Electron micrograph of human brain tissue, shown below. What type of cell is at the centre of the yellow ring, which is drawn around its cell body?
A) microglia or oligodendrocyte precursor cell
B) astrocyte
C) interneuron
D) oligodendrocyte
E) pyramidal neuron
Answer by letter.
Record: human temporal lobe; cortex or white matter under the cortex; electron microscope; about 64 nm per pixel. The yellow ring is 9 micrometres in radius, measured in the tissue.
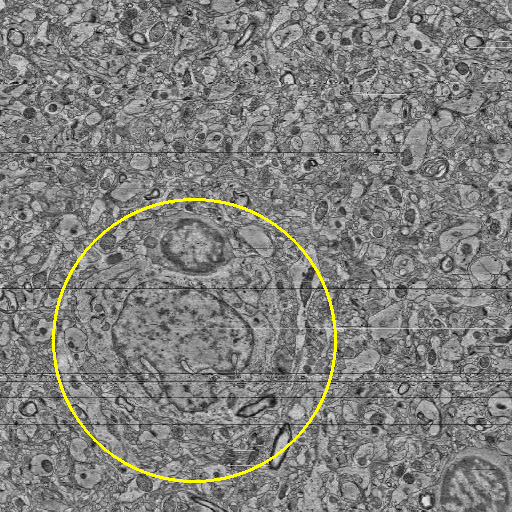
C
